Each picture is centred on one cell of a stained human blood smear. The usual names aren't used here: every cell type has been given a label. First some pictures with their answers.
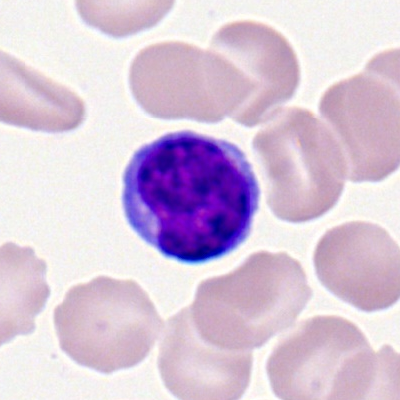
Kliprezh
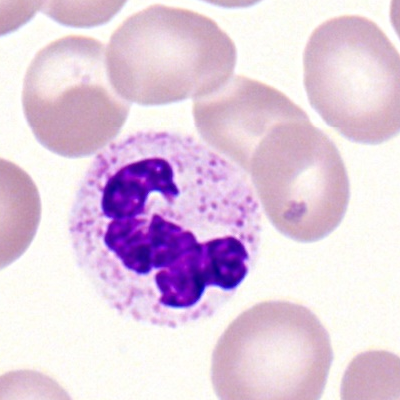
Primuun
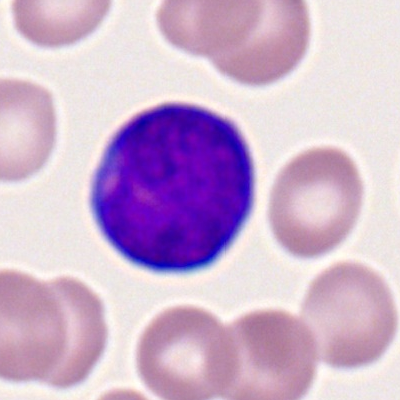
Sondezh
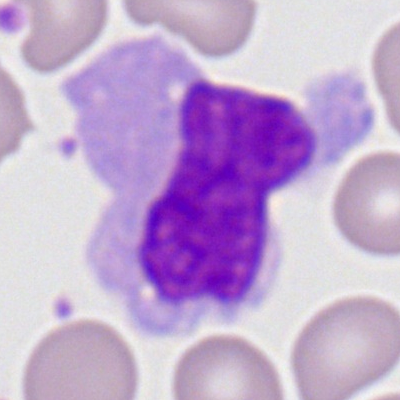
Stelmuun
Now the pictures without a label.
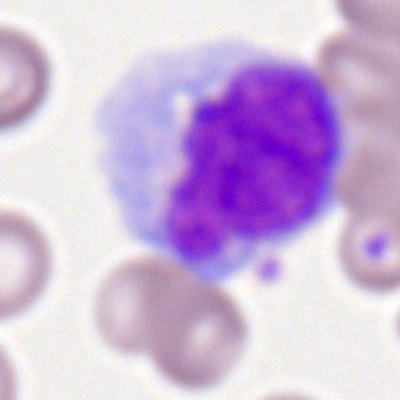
Stelmuun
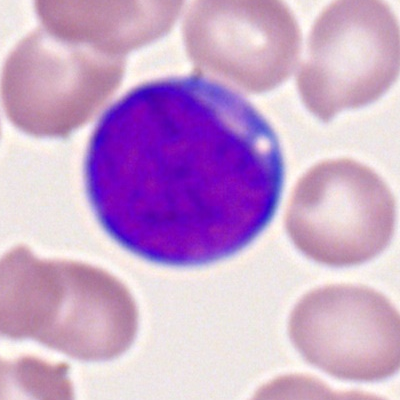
Sondezh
